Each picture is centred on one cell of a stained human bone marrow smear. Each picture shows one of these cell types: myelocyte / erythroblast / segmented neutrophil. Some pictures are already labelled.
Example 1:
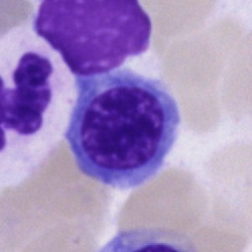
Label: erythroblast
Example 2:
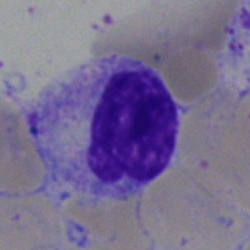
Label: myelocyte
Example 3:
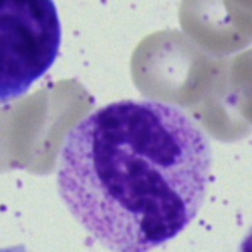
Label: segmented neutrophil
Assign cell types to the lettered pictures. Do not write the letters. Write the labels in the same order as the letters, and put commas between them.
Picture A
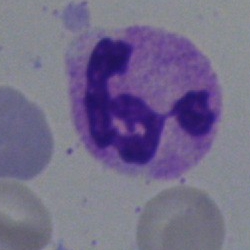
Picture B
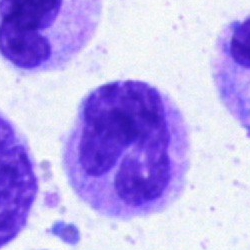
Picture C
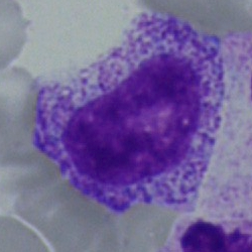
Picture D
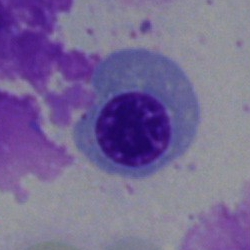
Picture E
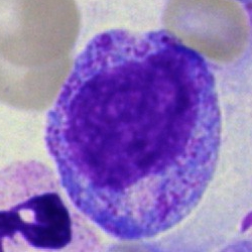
segmented neutrophil, segmented neutrophil, myelocyte, erythroblast, myelocyte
